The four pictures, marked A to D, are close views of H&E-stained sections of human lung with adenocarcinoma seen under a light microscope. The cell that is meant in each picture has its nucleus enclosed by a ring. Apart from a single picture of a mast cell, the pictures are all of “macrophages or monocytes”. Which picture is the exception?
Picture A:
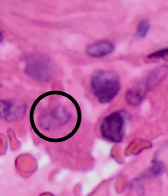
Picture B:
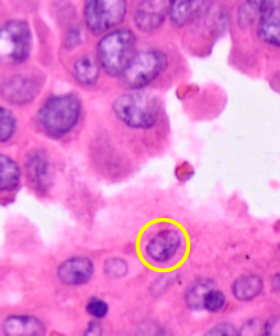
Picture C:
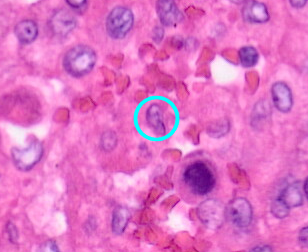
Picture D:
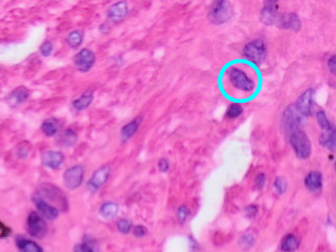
D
